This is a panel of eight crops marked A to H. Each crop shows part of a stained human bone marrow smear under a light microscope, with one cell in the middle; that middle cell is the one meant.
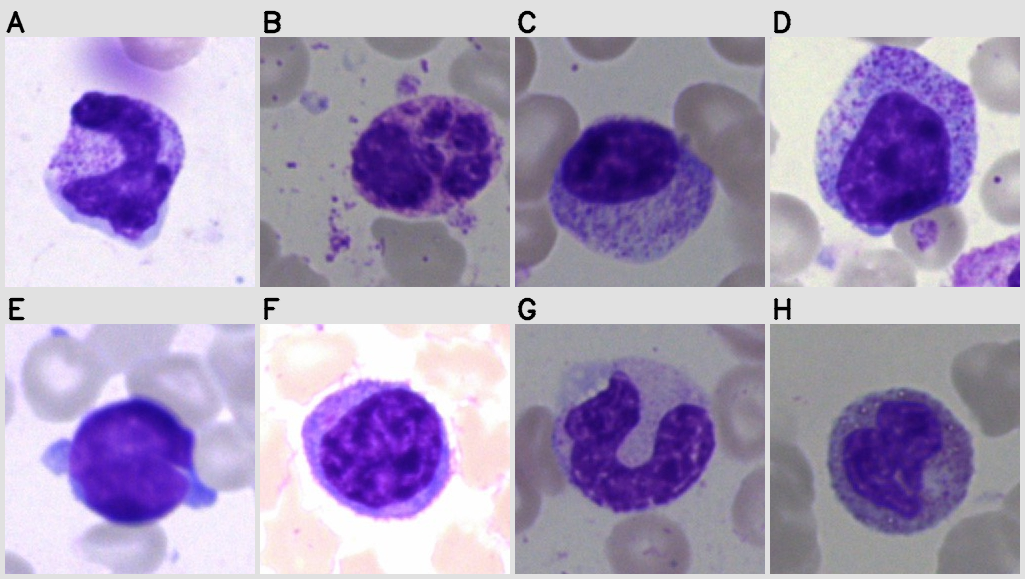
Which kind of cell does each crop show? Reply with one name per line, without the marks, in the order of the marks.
segmented neutrophil
basophil
myelocyte
myelocyte
blast
plasma cell
band neutrophil
eosinophil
